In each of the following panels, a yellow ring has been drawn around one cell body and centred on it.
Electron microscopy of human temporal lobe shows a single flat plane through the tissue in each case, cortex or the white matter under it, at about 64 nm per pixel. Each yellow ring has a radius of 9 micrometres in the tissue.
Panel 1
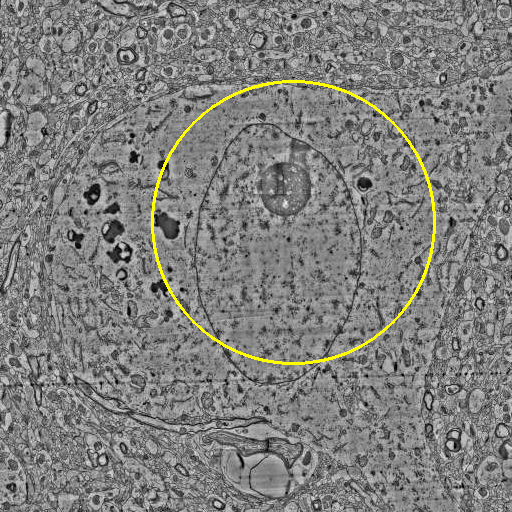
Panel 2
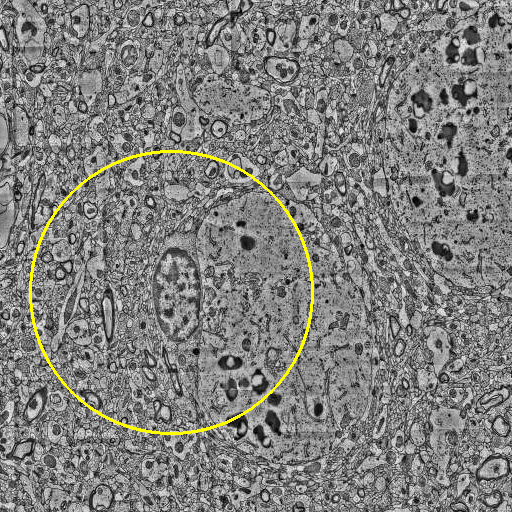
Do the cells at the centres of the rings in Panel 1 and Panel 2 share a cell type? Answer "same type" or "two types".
two types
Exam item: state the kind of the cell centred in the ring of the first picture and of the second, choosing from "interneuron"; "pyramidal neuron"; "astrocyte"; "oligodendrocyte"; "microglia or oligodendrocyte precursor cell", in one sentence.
The first picture shows a pyramidal neuron at the ring centre and the second shows an oligodendrocyte.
